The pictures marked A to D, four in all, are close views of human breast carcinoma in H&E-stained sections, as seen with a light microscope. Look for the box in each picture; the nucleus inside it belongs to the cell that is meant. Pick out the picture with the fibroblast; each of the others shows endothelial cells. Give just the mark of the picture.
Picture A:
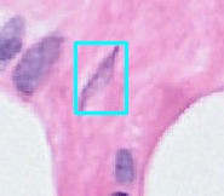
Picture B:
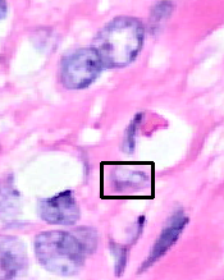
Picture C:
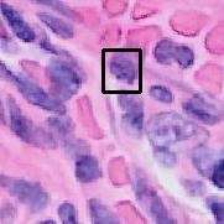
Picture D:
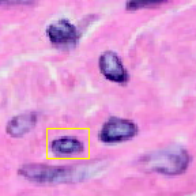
A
